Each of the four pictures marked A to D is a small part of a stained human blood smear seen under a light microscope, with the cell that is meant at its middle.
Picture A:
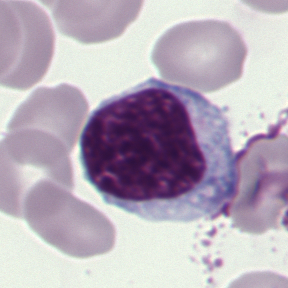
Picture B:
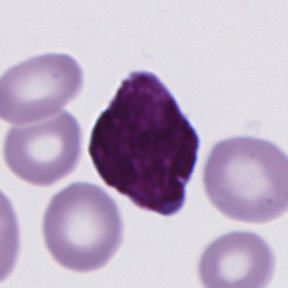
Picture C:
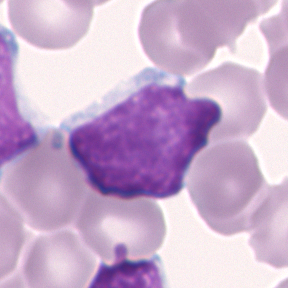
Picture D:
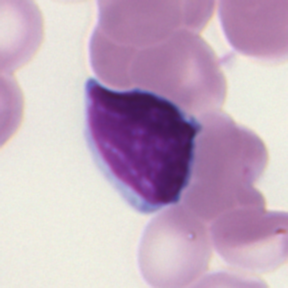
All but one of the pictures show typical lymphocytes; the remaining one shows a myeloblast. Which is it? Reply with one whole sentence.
The cell in picture B is the myeloblast.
